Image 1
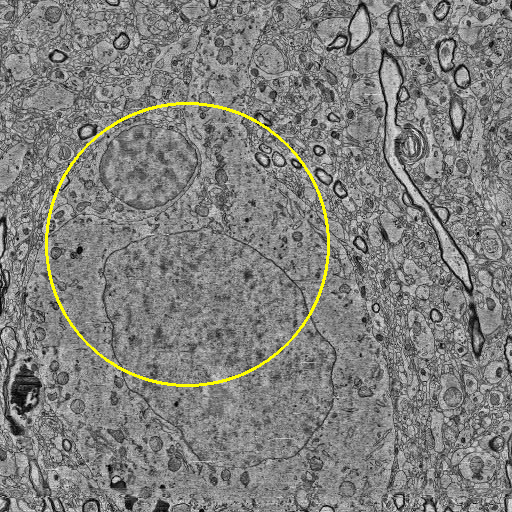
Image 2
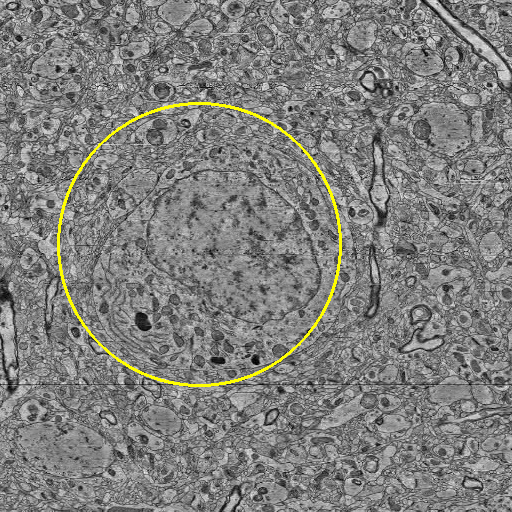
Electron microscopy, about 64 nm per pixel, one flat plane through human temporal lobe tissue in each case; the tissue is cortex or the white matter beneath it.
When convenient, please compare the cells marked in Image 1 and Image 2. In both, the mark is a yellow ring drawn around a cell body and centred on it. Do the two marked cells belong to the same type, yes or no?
no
